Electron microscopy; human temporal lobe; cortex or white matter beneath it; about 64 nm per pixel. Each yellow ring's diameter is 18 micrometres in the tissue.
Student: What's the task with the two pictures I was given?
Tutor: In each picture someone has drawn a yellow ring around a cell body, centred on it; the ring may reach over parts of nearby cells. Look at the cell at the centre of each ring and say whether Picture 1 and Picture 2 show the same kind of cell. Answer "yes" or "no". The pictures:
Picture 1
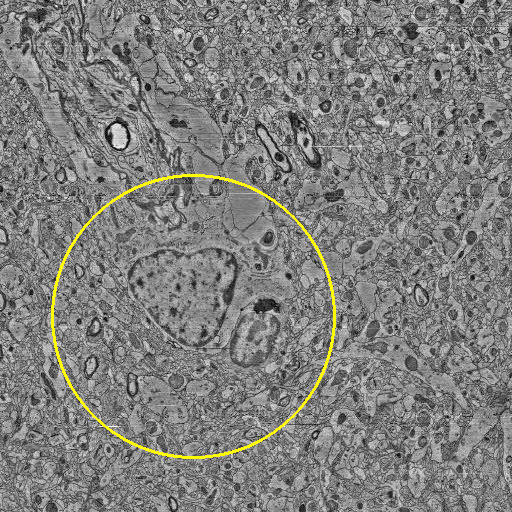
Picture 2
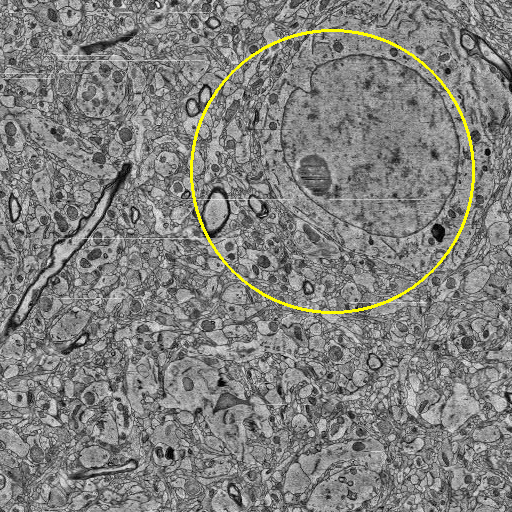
no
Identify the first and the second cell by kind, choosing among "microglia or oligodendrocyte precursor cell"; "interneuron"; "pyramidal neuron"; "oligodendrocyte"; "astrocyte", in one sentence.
The one in the first picture is a microglial cell or oligodendrocyte precursor cell, while the one in the second is a pyramidal neuron.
